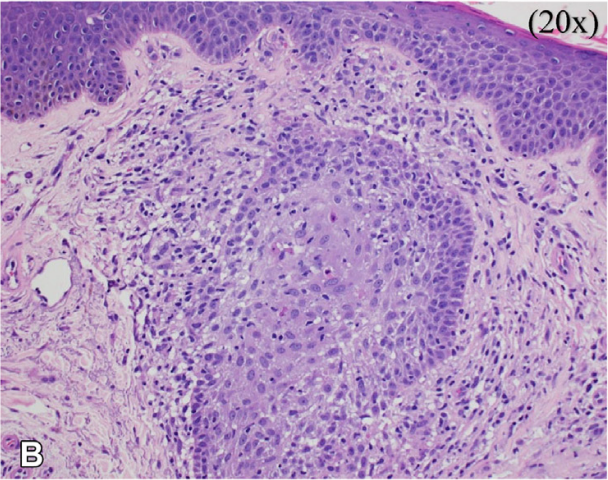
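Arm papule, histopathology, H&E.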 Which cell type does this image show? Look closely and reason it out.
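Lymphocytes. Small cells with dark round nuclei and scant cytoplasm form a dense infiltrate. These cells surround and enter an island of epithelium beneath the epidermis.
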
